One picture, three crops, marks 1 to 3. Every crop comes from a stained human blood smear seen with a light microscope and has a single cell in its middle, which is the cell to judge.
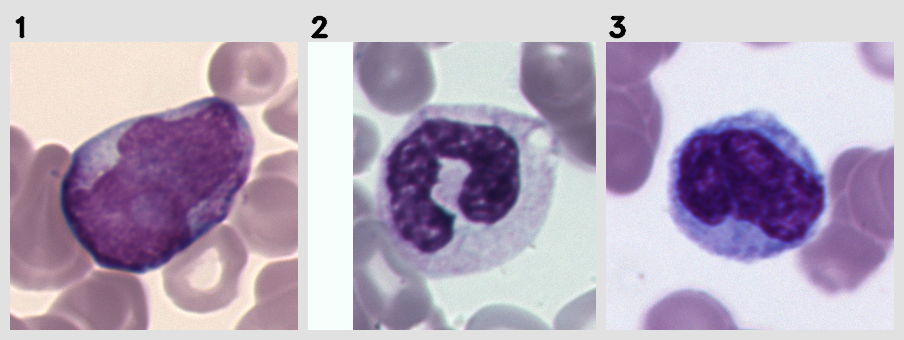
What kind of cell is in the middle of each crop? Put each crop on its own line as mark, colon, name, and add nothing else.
1: atypical promyelocyte
2: band neutrophil
3: monocyte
